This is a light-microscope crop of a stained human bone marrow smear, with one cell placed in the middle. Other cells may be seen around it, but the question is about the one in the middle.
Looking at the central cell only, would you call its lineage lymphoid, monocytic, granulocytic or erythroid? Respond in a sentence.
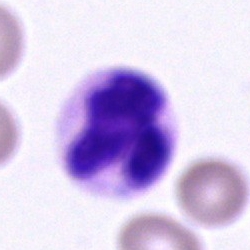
The centered cell here is of granulocytic lineage.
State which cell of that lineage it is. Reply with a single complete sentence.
The single cell at the center of the crop is a segmented neutrophil.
